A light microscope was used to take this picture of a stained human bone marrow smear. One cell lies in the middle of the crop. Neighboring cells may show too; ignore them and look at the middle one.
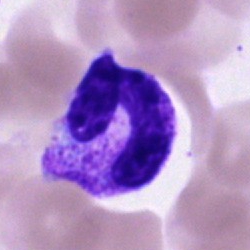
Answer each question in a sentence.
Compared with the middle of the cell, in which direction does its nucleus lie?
Toward the upper right of the cell lies its nucleus.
